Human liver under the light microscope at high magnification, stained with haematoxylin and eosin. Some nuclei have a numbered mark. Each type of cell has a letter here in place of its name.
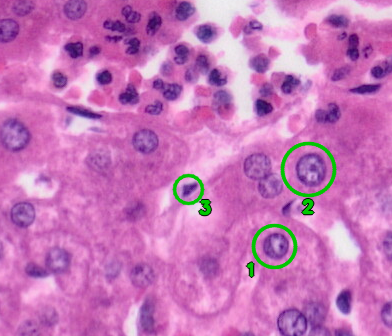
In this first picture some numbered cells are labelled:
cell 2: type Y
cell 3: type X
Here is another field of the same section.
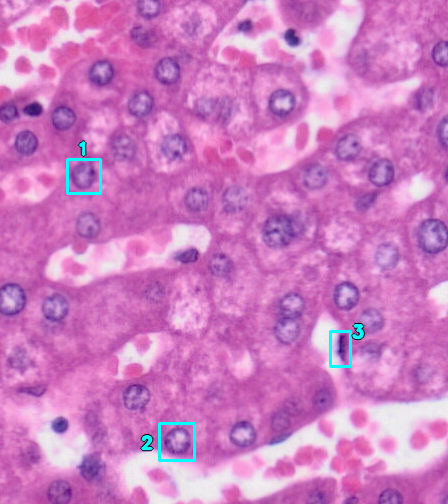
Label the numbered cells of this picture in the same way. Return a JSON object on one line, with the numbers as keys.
{"1": "type Y", "2": "type Y", "3": "type X"}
